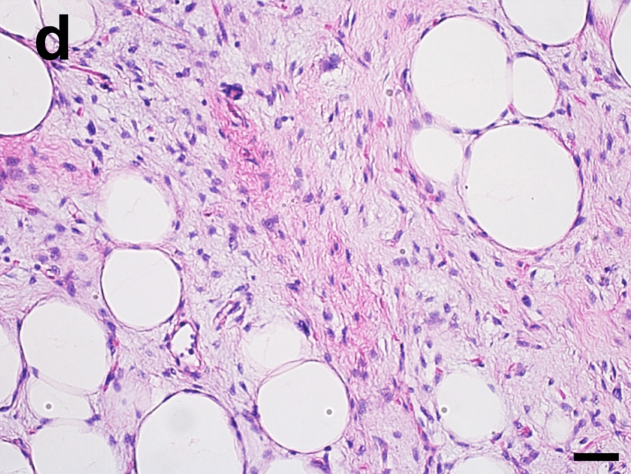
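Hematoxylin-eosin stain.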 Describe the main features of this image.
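Fatty tissue with round adipocytes of varying size set in a broad fibrous stroma holding many spindle and stellate stromal cells. The stromal nuclei are elongated to ovoid, several enlarged and dark, lying in a pale pink collagenous background with small vessels.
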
